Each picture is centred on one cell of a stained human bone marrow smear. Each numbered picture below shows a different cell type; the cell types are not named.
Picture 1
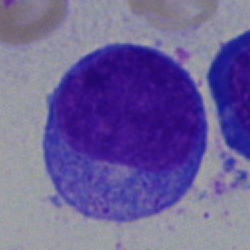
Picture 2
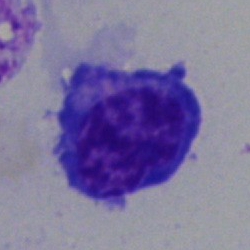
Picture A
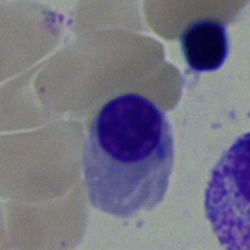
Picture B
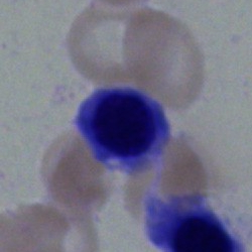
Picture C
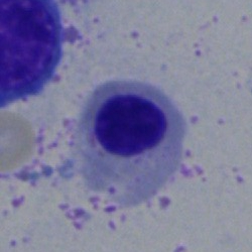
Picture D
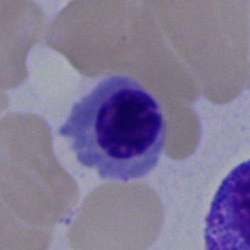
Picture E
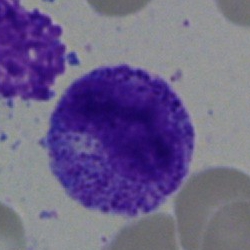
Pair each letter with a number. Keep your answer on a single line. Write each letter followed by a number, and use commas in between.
A 2, B 2, C 2, D 2, E 1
